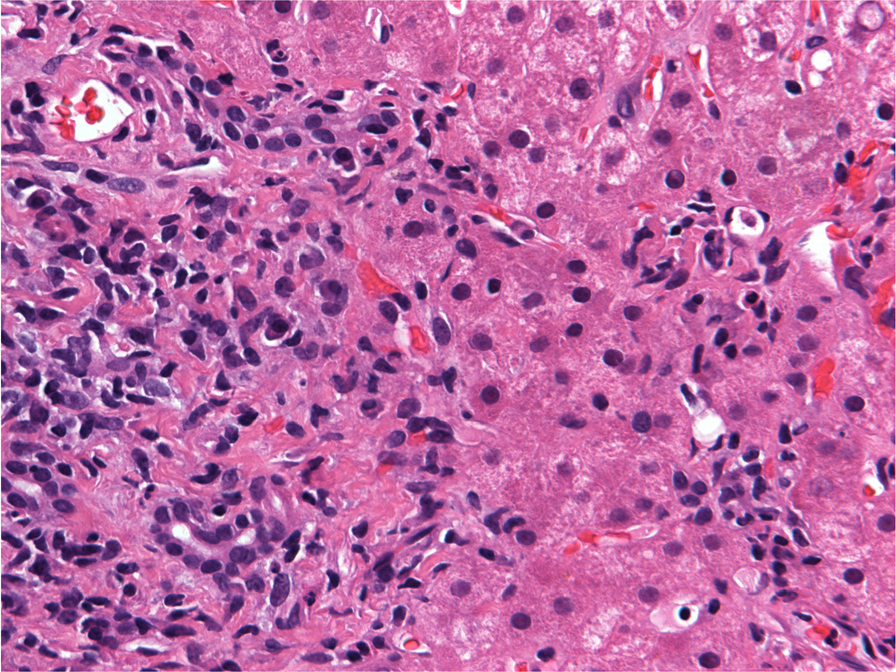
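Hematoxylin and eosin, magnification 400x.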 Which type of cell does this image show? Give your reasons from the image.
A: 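Many small cells with round, dark, dense nuclei and scant cytoplasm. Some cells have an off-center nucleus and a rim of more abundant cytoplasm.
Conclusion: lymphocytes and plasma cells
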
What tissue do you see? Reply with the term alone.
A: liver parenchyma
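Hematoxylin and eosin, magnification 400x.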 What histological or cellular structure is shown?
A: Portal tract.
